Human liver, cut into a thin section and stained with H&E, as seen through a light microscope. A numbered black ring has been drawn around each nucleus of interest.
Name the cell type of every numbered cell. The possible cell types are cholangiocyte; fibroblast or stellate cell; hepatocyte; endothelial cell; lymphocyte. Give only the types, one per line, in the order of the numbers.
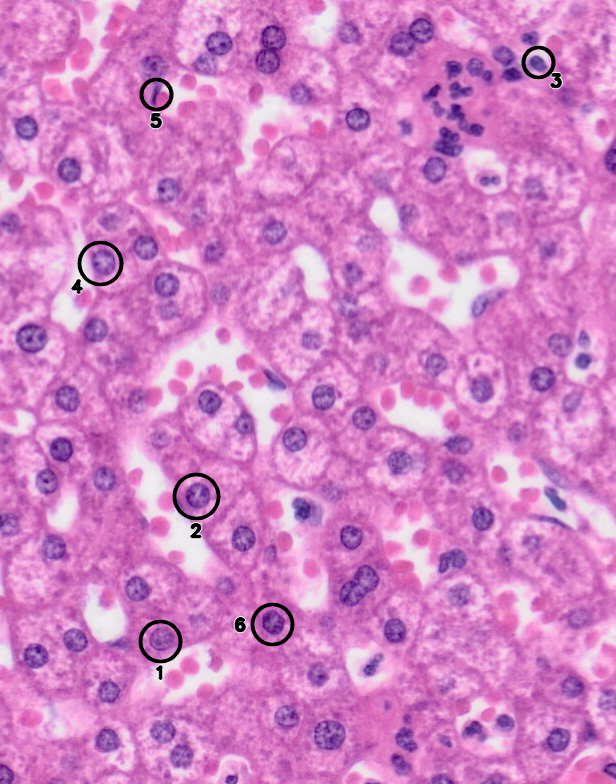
hepatocyte
hepatocyte
lymphocyte
hepatocyte
endothelial cell
hepatocyte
